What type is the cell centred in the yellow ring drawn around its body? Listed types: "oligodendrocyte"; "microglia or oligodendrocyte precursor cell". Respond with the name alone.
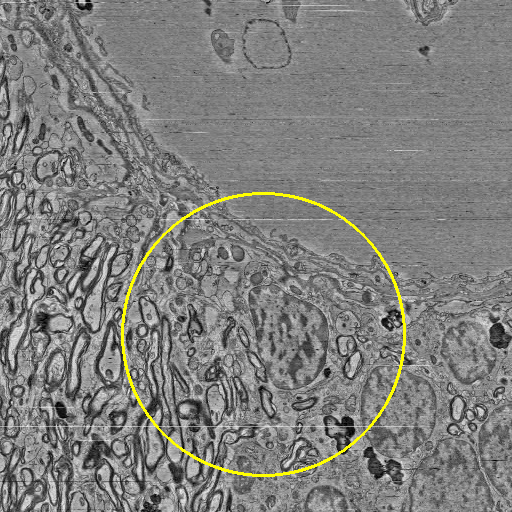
microglia or oligodendrocyte precursor cell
